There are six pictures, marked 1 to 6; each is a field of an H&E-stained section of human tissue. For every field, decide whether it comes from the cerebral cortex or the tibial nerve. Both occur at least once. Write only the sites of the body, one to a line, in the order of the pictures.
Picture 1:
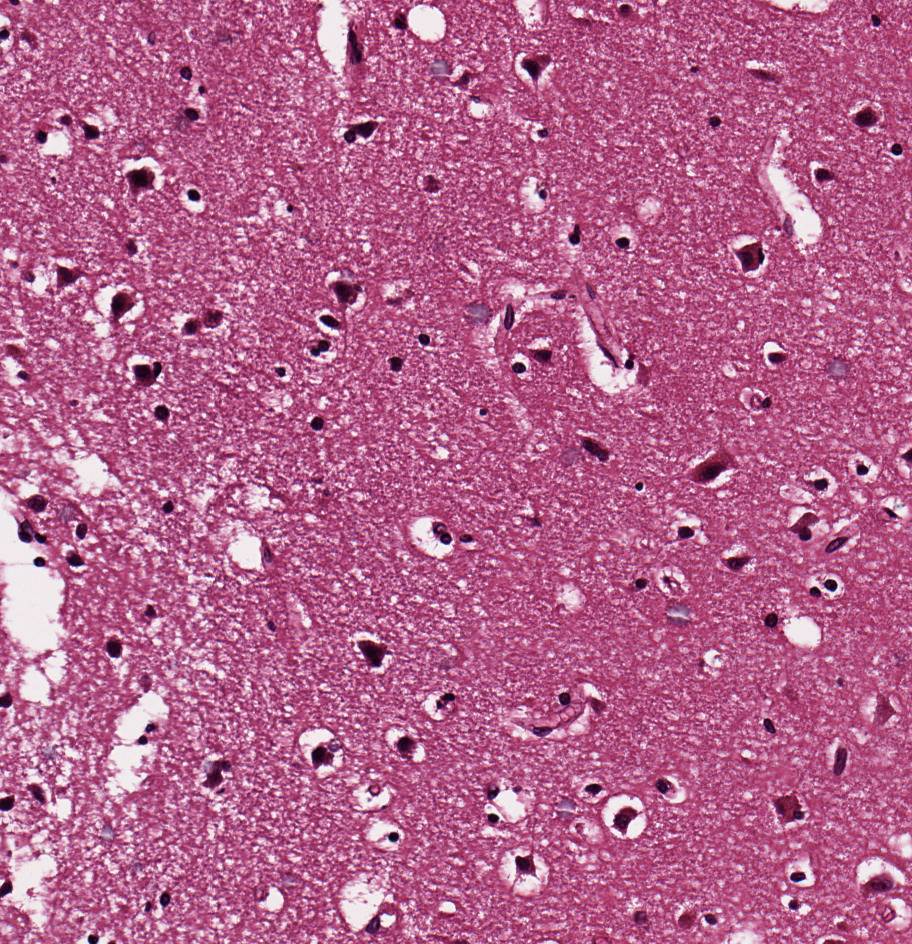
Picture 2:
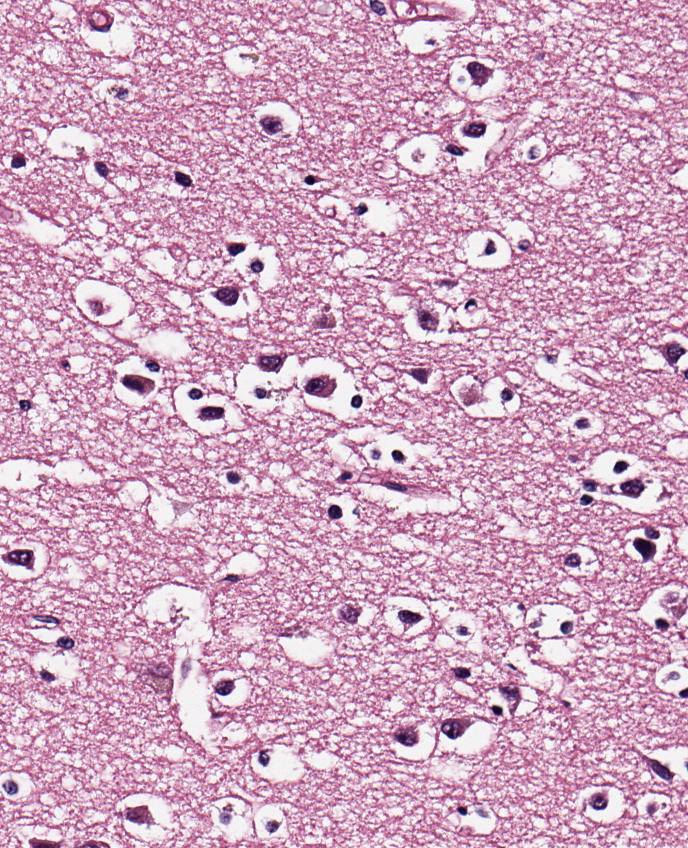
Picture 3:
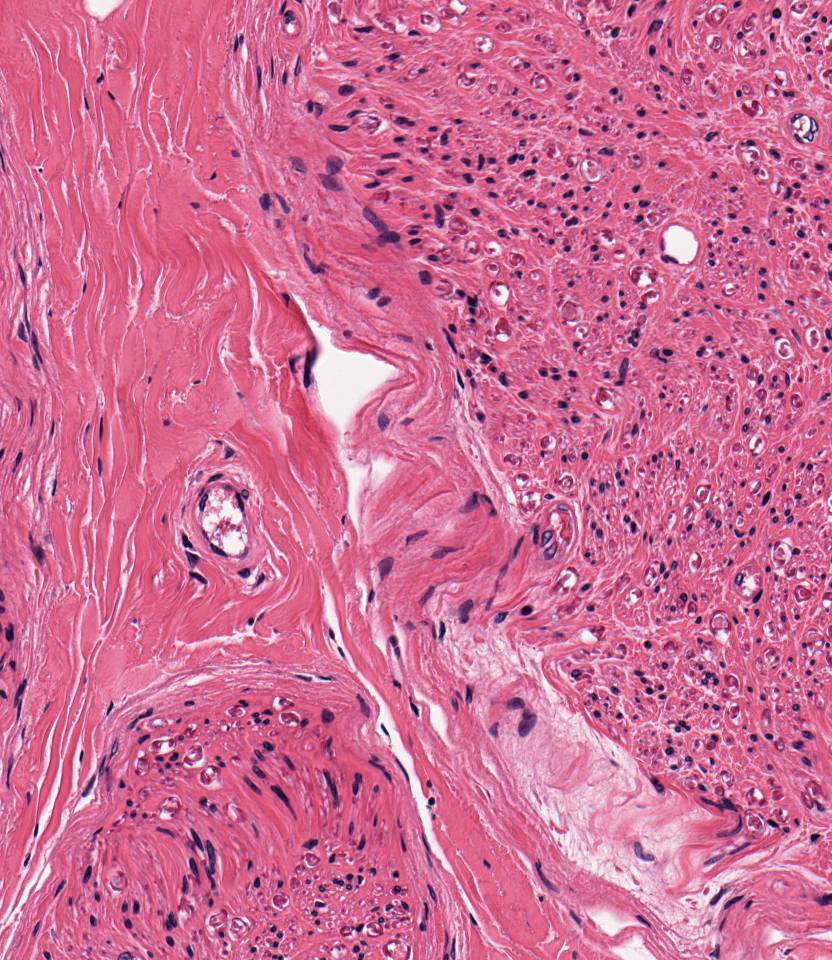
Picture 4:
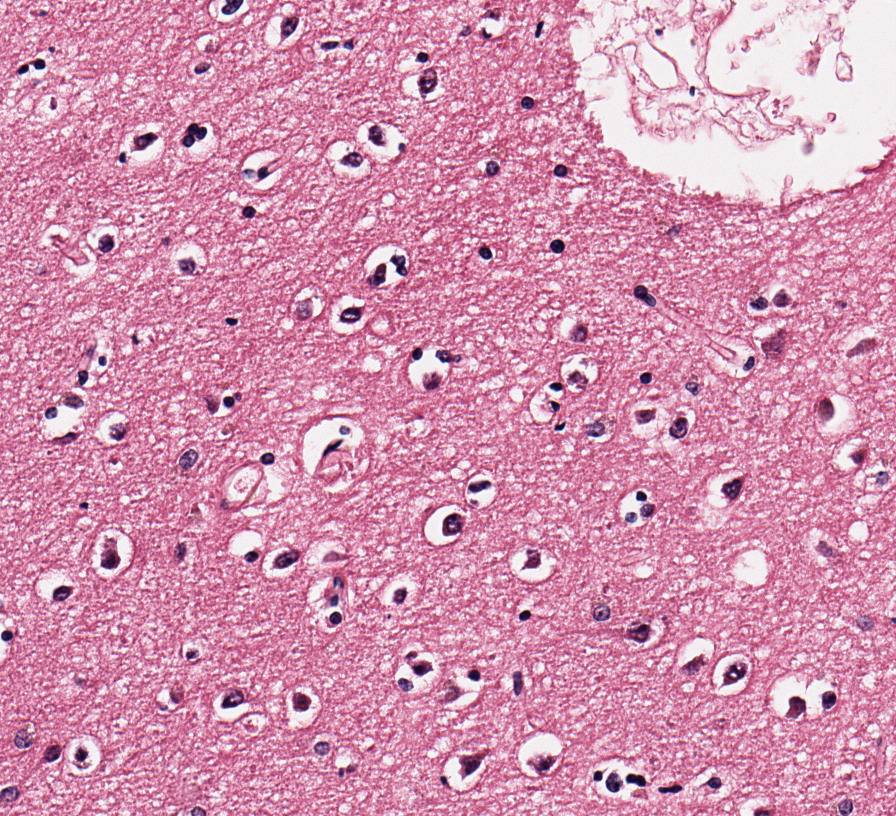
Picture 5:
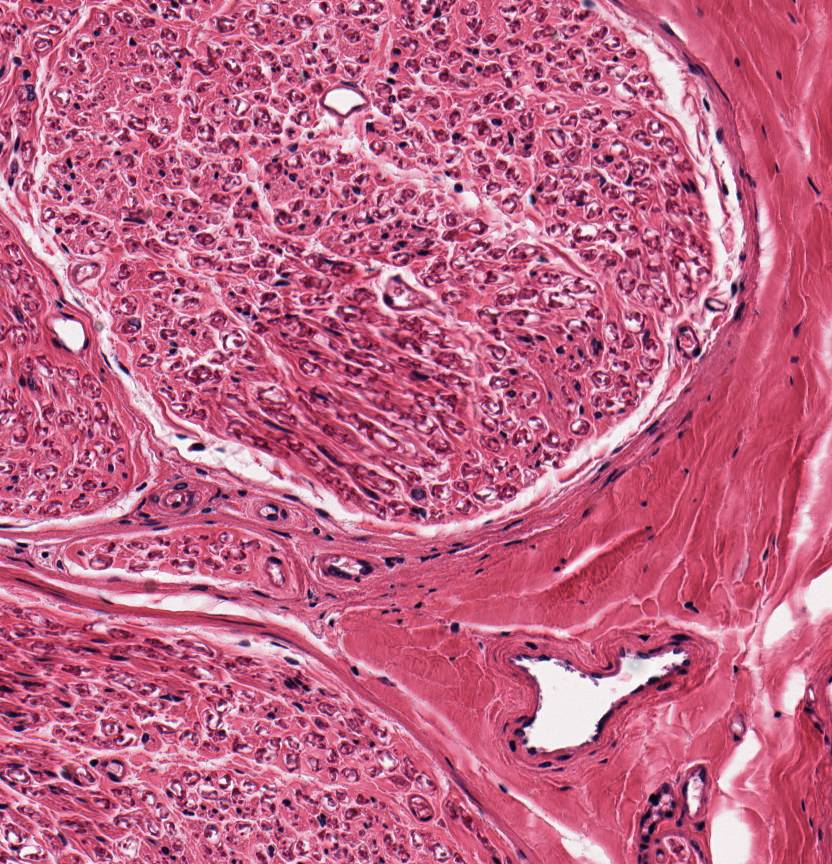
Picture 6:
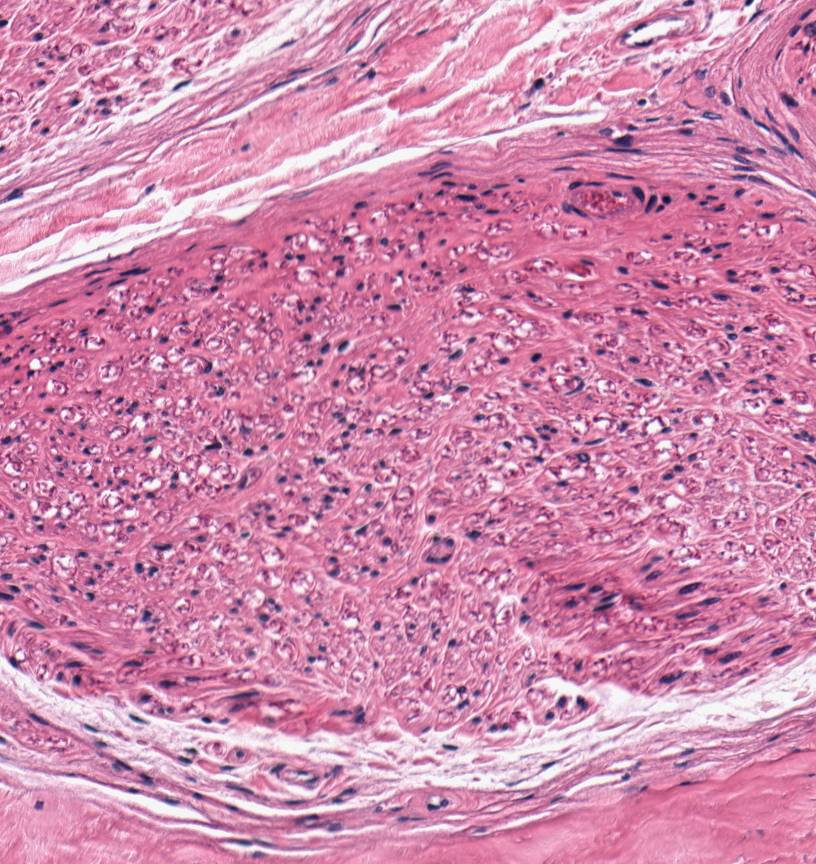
cerebral cortex
cerebral cortex
tibial nerve
cerebral cortex
tibial nerve
tibial nerve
